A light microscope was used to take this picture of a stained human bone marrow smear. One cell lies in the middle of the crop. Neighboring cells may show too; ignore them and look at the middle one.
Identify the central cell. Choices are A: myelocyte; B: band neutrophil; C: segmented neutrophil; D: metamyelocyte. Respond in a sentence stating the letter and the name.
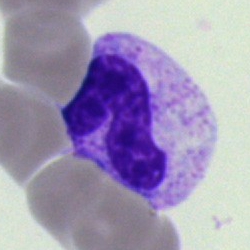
Option B holds up: the cell in the middle is a band neutrophil.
